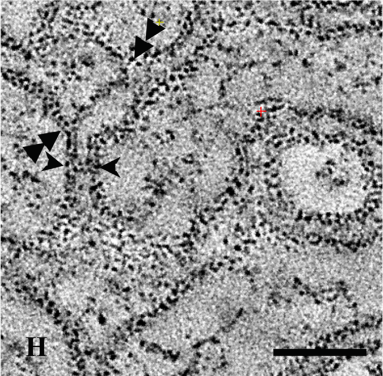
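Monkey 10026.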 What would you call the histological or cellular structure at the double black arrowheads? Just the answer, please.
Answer: Strands.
